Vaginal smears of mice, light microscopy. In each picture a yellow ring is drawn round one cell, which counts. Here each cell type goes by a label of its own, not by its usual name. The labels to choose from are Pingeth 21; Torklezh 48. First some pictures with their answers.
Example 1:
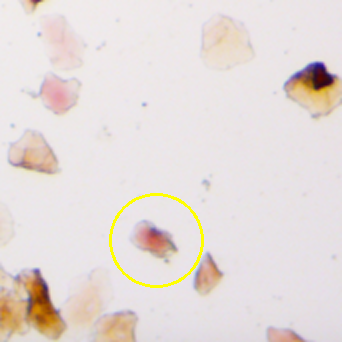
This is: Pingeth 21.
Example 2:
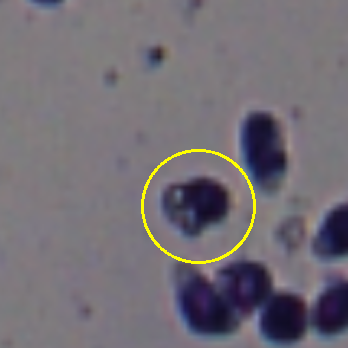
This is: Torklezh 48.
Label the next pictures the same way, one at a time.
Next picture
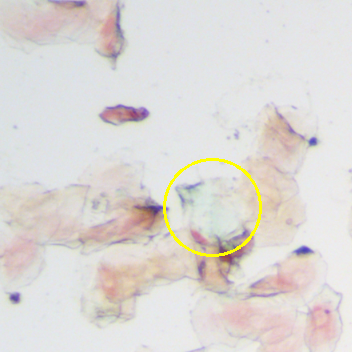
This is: Pingeth 21.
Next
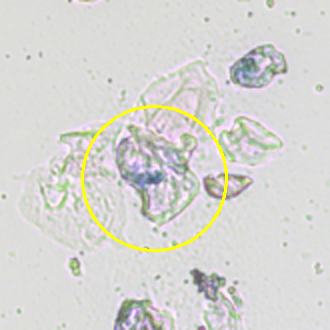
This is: Pingeth 21.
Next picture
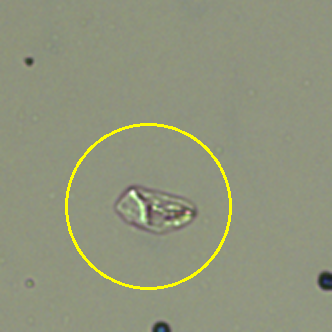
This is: Pingeth 21.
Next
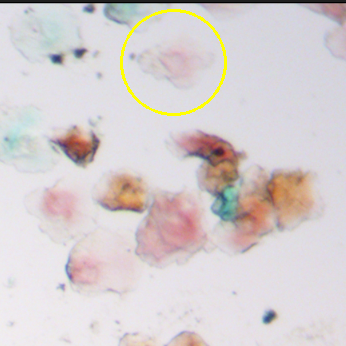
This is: Pingeth 21.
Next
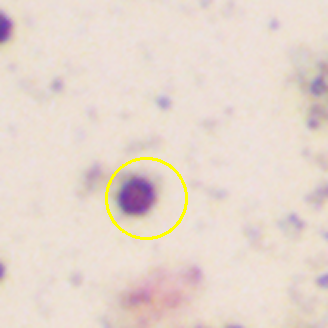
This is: Torklezh 48.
